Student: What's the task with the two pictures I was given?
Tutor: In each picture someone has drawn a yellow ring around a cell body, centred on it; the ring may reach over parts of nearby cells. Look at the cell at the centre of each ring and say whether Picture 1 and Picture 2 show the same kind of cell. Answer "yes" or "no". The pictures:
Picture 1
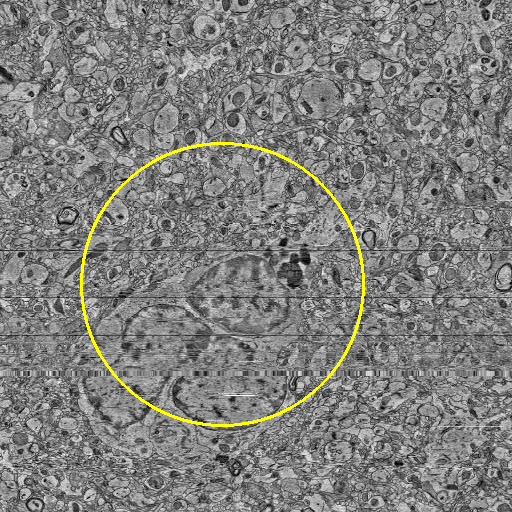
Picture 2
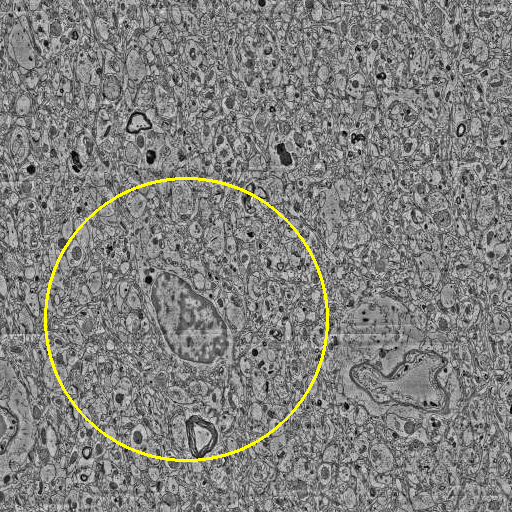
no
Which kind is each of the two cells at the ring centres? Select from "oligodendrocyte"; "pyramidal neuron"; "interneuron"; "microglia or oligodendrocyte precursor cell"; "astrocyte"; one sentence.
The cell at the centre of the ring is an oligodendrocyte in the first picture and a microglial cell or oligodendrocyte precursor cell in the second.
